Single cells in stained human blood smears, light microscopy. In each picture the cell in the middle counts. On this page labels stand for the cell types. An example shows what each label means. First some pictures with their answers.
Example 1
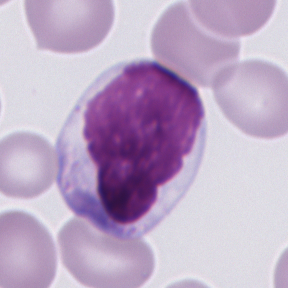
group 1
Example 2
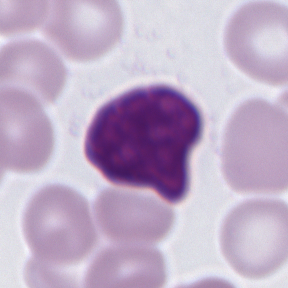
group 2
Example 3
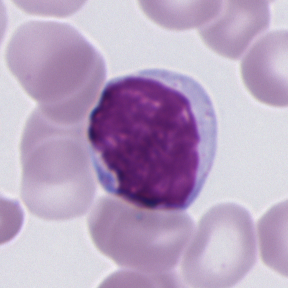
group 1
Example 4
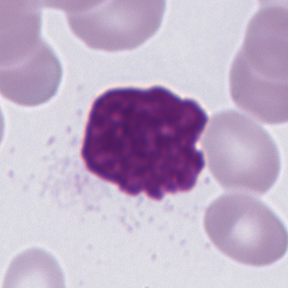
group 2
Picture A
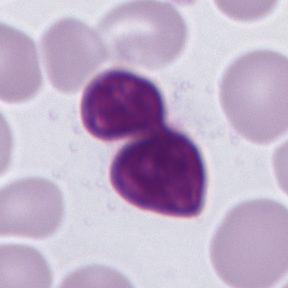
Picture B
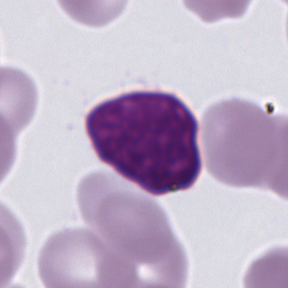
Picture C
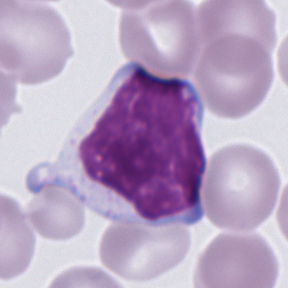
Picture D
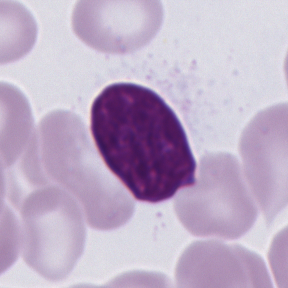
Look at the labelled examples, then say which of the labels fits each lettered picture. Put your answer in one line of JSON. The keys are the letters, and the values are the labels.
{"A": "group 2", "B": "group 2", "C": "group 1", "D": "group 2"}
